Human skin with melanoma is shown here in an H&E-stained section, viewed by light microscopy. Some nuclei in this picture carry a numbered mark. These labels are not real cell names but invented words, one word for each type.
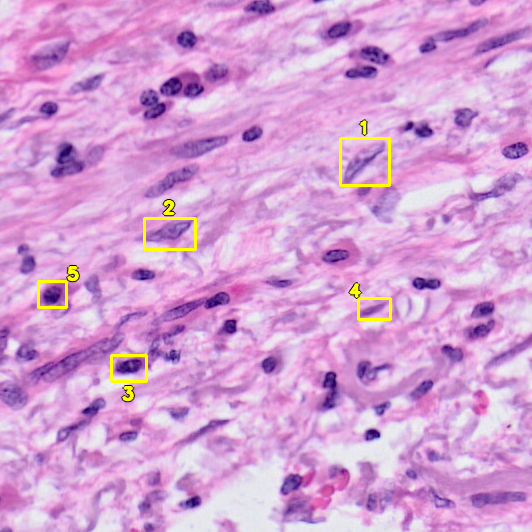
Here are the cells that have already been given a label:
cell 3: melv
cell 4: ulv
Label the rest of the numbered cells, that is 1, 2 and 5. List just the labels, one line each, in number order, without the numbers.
ulv
ulv
melv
